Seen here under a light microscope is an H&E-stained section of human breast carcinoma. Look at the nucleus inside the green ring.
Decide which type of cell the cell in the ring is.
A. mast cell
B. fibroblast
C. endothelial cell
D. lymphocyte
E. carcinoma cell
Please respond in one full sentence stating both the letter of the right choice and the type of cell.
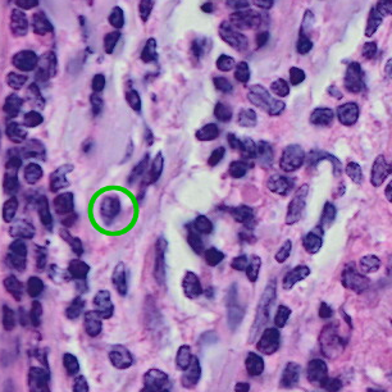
In short, option D: the cell in the ring is a lymphocyte.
